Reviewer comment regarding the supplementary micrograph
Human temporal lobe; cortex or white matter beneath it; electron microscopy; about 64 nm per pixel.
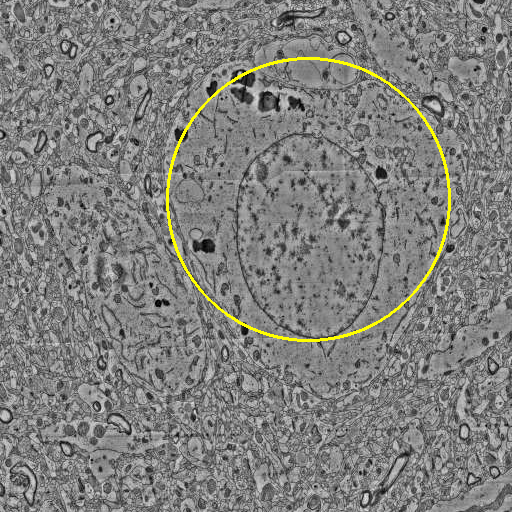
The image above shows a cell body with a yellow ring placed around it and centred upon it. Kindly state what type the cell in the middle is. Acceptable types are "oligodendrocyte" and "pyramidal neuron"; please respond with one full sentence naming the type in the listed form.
In the image above, the cell on which the yellow ring is centred is a pyramidal neuron.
